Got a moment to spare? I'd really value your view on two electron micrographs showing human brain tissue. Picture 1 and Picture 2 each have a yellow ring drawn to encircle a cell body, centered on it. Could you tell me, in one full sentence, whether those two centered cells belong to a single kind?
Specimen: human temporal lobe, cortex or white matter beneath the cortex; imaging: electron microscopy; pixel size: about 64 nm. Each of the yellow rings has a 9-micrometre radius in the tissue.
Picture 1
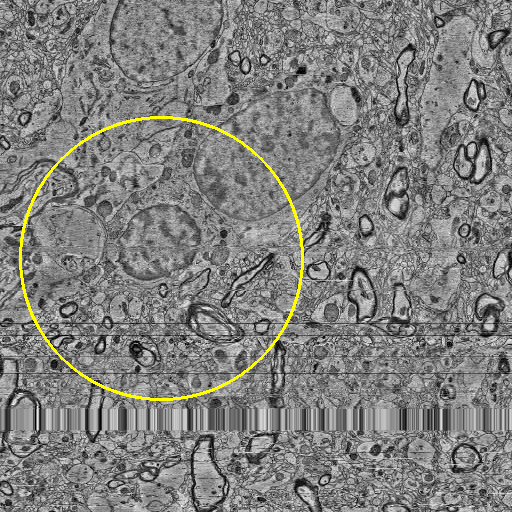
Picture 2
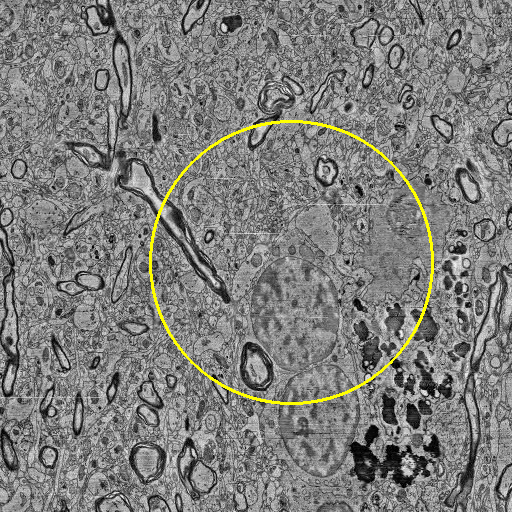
Yes, the two centered cells in Picture 1 and Picture 2 are of a single kind.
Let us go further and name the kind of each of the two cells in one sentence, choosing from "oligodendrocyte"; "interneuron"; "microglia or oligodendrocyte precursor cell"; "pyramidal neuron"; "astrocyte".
Both rings mark an oligodendrocyte, one in each picture.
